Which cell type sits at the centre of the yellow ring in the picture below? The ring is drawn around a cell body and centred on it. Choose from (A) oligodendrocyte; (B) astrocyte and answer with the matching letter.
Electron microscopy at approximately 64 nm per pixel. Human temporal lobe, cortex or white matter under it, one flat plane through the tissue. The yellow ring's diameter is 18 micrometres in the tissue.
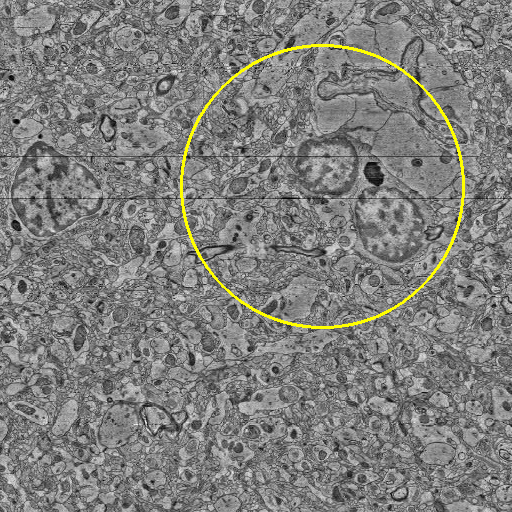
A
